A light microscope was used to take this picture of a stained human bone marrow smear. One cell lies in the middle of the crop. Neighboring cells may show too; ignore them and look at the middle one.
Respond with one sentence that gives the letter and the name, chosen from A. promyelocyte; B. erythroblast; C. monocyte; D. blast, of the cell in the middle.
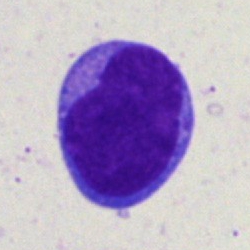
Option D is the correct selection, for the cell at the centre is a blast.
